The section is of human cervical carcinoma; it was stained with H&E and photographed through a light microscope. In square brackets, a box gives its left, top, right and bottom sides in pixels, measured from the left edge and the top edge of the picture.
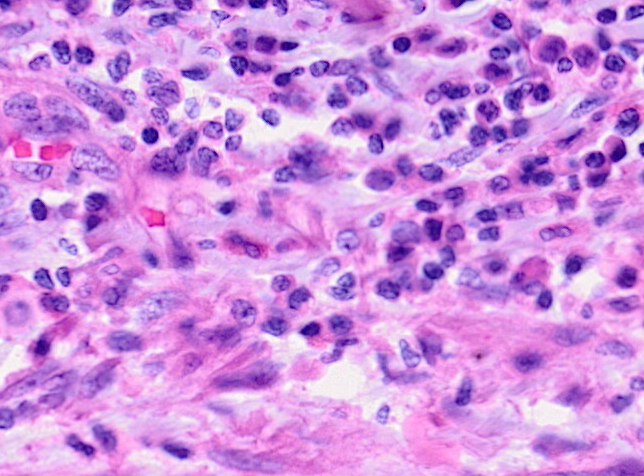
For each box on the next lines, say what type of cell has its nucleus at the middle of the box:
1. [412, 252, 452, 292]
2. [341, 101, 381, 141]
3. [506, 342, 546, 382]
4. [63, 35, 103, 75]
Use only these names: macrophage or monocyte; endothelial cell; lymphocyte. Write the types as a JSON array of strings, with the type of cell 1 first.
["lymphocyte", "lymphocyte", "endothelial cell", "lymphocyte"]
